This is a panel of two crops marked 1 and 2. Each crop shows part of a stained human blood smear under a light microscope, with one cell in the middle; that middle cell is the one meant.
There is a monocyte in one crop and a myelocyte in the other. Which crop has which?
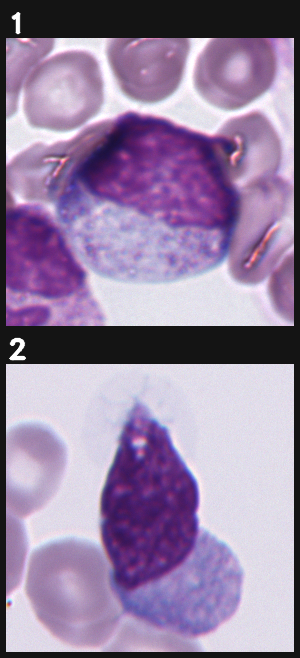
1: myelocyte
2: monocyte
